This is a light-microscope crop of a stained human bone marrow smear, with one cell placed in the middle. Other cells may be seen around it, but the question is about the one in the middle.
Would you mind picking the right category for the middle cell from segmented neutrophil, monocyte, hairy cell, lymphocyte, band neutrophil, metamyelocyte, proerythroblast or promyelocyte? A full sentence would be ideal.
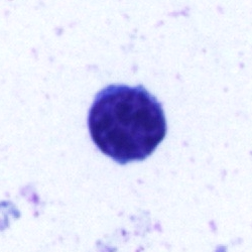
Classified as a lymphocyte is the cell in the middle of this crop.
